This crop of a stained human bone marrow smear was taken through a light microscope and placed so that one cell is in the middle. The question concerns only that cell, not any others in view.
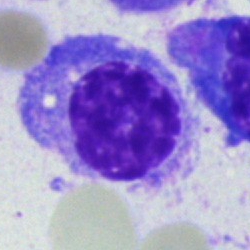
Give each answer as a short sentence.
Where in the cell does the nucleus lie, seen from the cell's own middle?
It is shifted toward the lower right of the cell.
